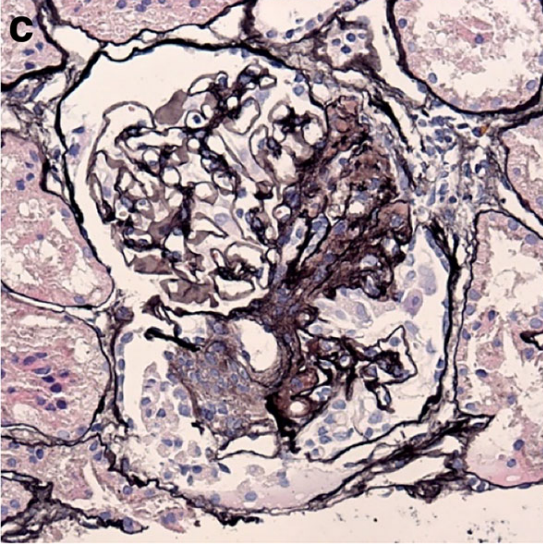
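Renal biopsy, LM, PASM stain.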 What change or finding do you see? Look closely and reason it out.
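Part of the glomerular tuft is collapsed into a dense, dark-staining, solidified area. The remaining capillary loops stay open.
Answer: Focal sclerosis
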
